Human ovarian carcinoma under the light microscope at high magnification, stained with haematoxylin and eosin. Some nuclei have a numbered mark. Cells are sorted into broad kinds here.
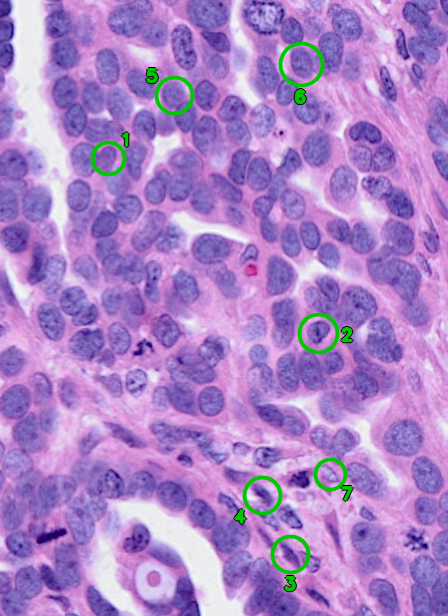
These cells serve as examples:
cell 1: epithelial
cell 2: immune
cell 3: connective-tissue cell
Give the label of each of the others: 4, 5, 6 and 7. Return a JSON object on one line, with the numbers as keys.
{"4": "connective-tissue cell", "5": "epithelial", "6": "epithelial", "7": "connective-tissue cell"}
